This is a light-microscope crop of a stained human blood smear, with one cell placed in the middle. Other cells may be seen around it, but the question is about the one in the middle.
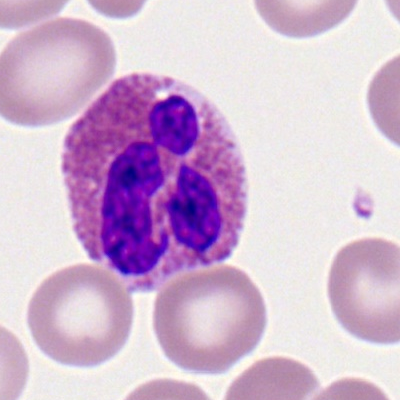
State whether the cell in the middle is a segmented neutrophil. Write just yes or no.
no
